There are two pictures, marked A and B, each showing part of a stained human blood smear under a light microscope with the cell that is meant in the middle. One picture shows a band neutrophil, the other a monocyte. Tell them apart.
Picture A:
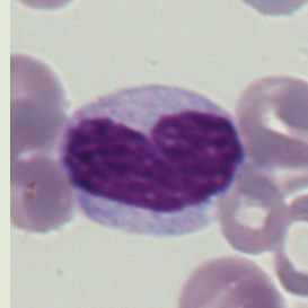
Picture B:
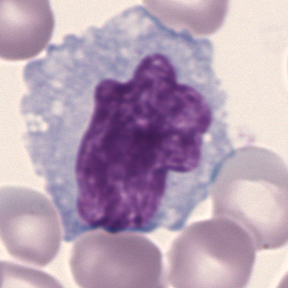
A: band neutrophil
B: monocyte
